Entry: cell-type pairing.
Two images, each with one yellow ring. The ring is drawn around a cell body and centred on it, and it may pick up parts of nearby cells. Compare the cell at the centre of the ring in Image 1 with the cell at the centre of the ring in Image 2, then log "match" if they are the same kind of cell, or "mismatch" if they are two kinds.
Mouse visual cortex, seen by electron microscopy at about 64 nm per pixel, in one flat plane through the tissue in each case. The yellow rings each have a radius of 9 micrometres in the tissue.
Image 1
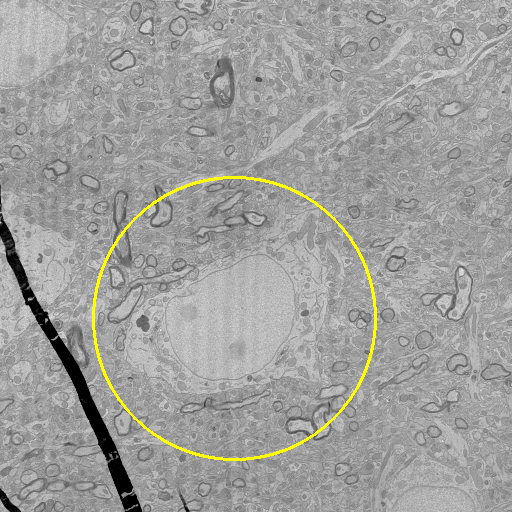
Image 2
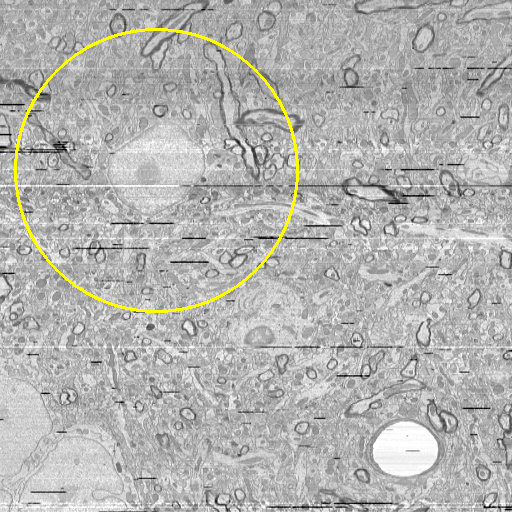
mismatch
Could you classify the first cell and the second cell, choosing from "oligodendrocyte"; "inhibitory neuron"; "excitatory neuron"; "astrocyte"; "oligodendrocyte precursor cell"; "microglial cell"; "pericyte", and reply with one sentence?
The second cell is an astrocyte, while the first is an excitatory neuron.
